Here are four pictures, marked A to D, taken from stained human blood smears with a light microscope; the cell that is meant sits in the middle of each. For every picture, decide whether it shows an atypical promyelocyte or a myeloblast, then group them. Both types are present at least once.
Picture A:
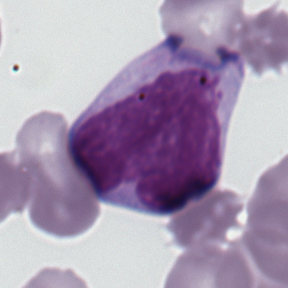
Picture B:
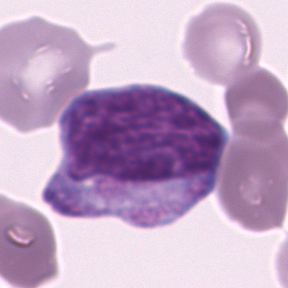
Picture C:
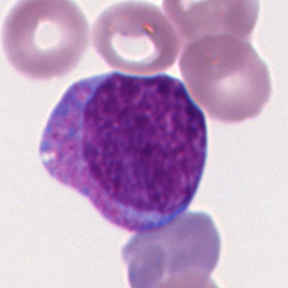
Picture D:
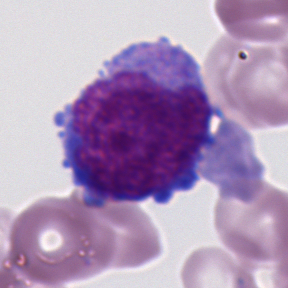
A: myeloblast
B: atypical promyelocyte
C: atypical promyelocyte
D: myeloblast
